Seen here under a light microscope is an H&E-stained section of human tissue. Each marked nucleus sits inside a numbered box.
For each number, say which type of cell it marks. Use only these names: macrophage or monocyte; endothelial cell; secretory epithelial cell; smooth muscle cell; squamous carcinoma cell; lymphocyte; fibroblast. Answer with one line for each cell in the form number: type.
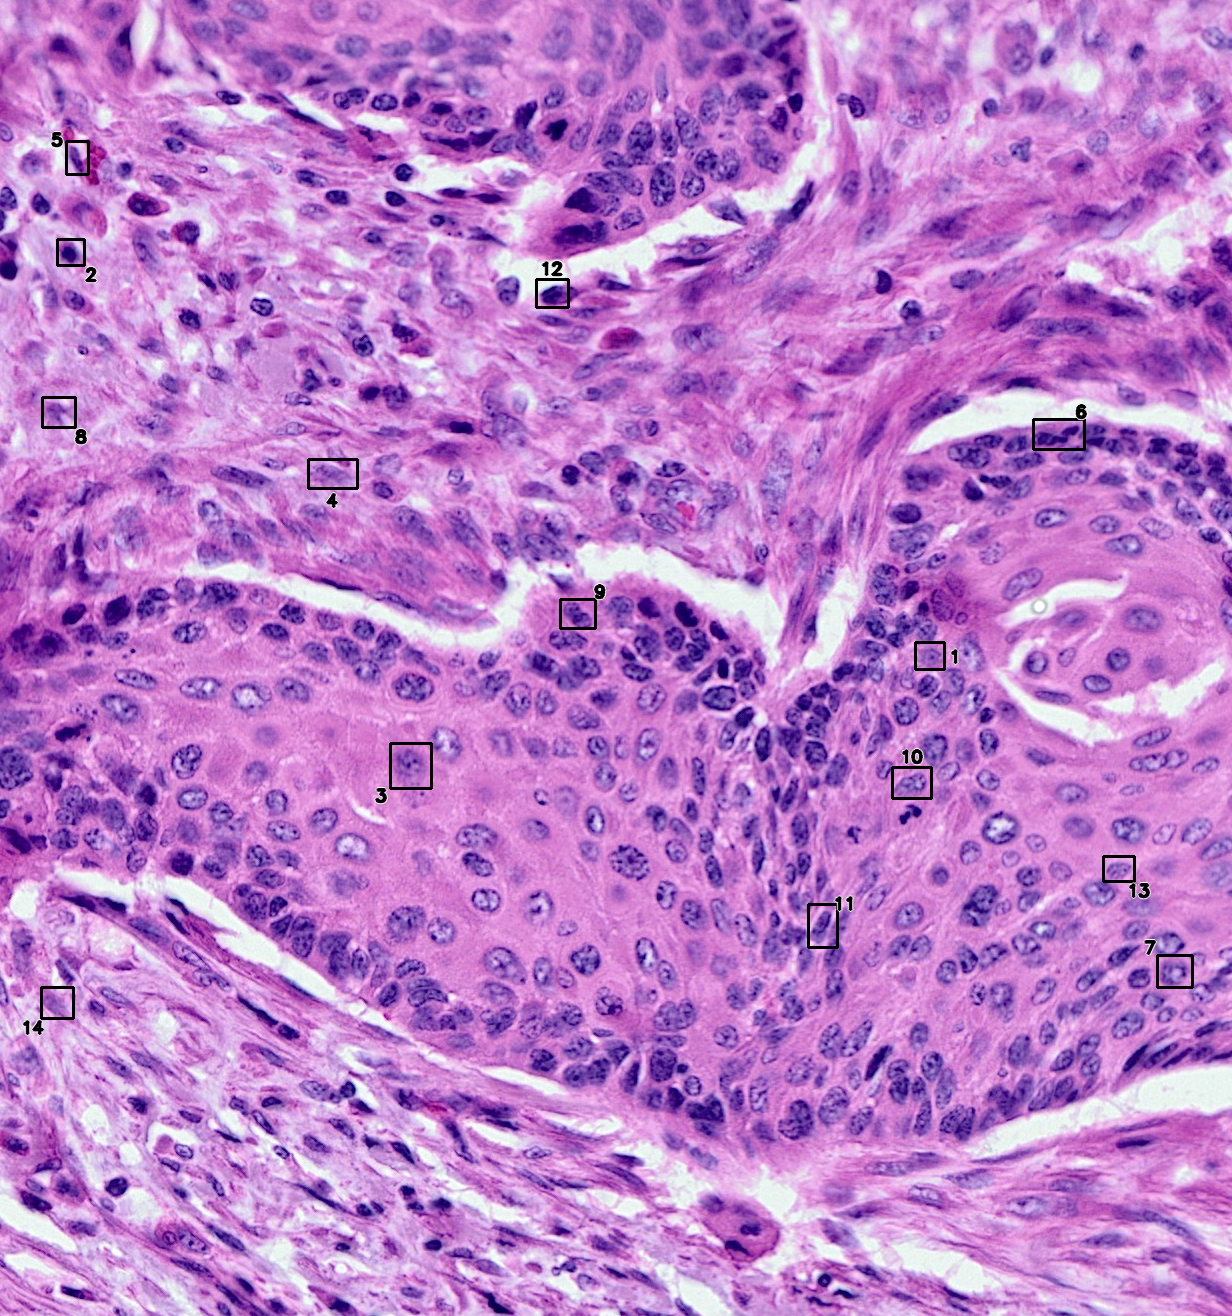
1: squamous carcinoma cell
2: lymphocyte
3: squamous carcinoma cell
4: fibroblast
5: endothelial cell
6: squamous carcinoma cell
7: squamous carcinoma cell
8: fibroblast
9: squamous carcinoma cell
10: squamous carcinoma cell
11: squamous carcinoma cell
12: lymphocyte
13: squamous carcinoma cell
14: fibroblast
